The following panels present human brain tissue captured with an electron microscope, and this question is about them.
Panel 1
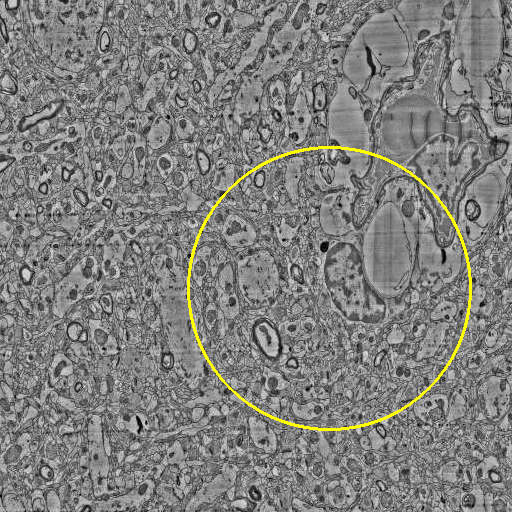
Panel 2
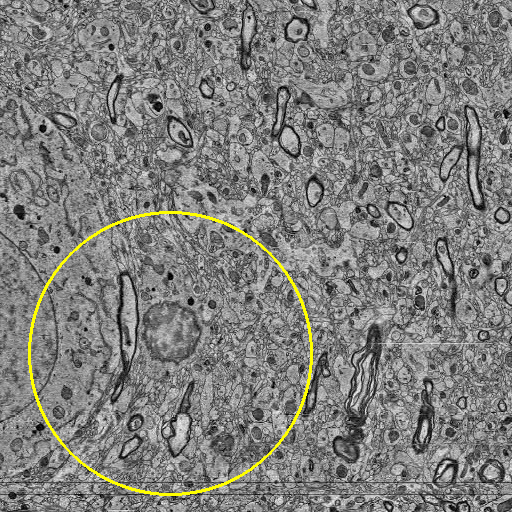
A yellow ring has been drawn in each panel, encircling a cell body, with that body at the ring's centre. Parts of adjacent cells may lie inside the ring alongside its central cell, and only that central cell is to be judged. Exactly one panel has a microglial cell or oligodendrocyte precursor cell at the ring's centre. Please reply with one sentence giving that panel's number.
The ring whose central cell fits the description is the one in panel 1.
